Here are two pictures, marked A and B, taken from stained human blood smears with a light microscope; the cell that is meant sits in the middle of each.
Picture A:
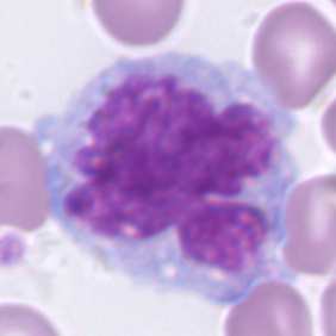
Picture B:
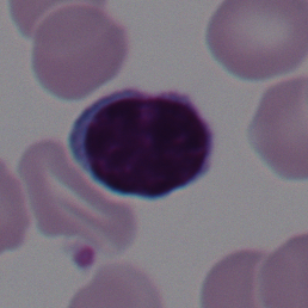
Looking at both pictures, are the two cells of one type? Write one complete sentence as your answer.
No; the cell in picture A is a monocyte, while the one in picture B is a typical lymphocyte.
